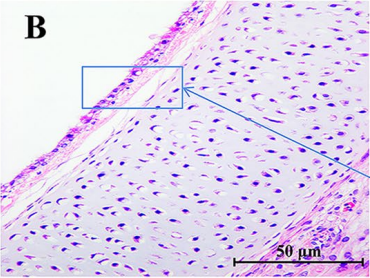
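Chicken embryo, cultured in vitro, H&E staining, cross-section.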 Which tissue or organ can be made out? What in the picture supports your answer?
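A broad band of pale matrix holds many rounded chondrocytes in lacunae. A thin cellular lining with pink and purple cells runs along the upper left surface. Thin loose tissue lies between the lining and the cartilage band.
Answer: tracheal ring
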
